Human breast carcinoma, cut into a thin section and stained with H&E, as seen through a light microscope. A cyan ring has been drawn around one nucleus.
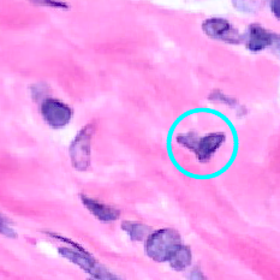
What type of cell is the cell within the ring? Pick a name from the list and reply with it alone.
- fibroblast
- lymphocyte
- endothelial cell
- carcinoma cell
lymphocyte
